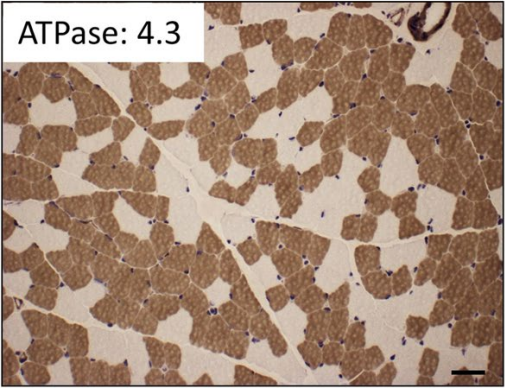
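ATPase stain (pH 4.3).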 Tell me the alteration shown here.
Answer: Type I fibers occasionally organized in groups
